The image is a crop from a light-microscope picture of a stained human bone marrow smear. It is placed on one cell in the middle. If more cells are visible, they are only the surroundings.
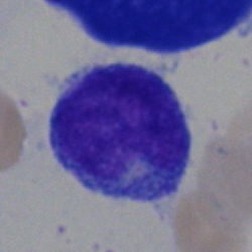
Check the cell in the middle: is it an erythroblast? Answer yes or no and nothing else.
no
